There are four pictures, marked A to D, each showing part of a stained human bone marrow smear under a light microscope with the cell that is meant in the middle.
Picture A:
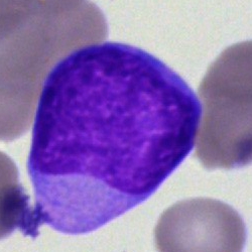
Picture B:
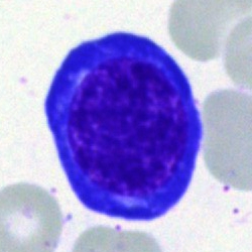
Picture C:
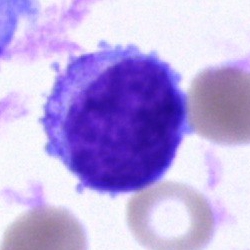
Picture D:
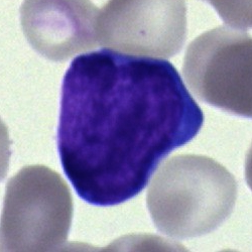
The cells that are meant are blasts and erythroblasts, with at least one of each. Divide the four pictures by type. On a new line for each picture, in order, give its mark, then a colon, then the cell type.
A: blast
B: erythroblast
C: blast
D: blast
